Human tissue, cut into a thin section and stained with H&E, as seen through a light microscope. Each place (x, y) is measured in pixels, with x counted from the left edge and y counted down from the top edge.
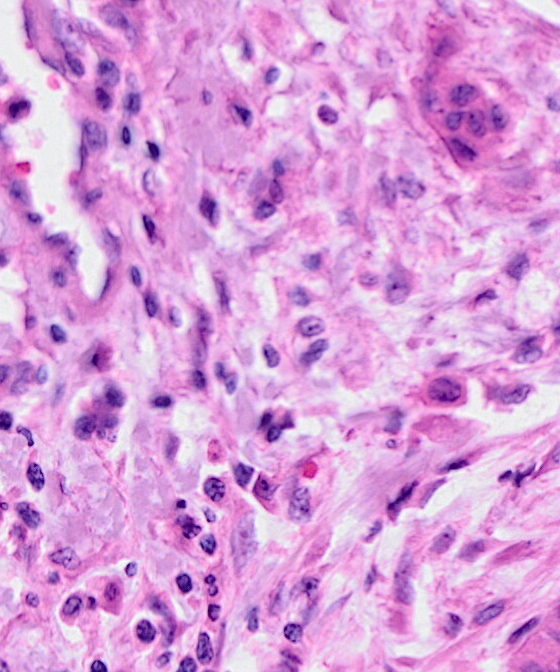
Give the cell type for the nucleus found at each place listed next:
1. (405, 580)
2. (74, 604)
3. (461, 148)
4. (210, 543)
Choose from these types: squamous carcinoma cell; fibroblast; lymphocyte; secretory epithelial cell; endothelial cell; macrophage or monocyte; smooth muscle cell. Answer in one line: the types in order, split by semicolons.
fibroblast; macrophage or monocyte; squamous carcinoma cell; lymphocyte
